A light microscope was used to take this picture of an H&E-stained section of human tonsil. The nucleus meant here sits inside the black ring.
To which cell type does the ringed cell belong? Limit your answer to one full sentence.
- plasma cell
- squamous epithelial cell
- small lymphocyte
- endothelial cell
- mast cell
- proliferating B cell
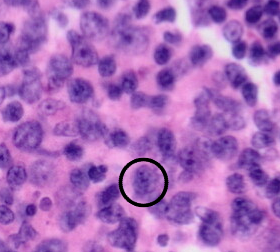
Histopathologically, the ringed cell is a proliferating B cell.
